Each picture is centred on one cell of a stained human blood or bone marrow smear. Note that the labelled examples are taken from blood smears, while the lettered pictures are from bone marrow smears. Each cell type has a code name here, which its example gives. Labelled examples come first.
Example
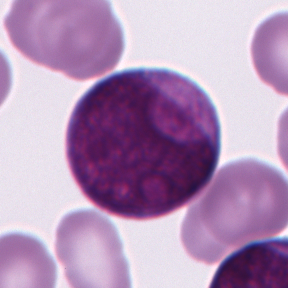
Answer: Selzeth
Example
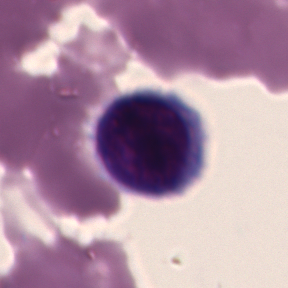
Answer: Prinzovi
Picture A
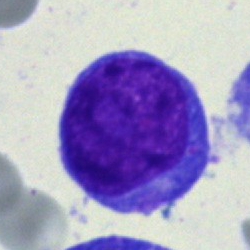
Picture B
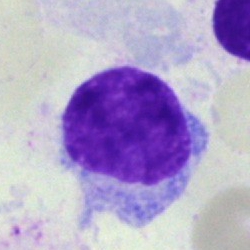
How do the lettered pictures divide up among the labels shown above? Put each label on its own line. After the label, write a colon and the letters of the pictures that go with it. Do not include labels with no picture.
Selzeth: A
Prinzovi: B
